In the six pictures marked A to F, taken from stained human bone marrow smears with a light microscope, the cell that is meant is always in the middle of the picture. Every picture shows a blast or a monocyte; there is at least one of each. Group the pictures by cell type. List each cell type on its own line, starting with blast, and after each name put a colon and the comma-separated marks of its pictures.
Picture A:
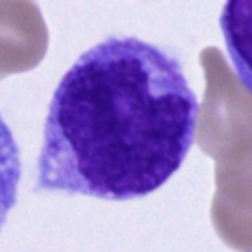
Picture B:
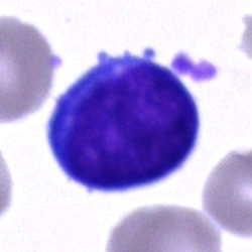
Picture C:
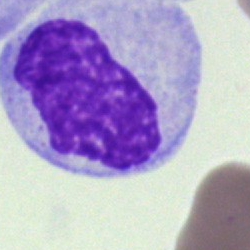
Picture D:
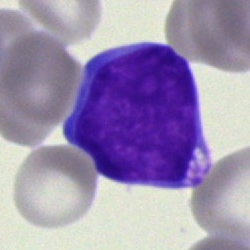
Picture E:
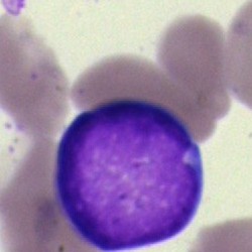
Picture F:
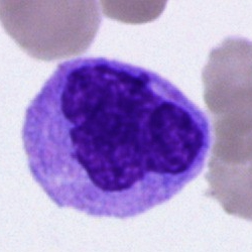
blast: B, D, E
monocyte: A, C, F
